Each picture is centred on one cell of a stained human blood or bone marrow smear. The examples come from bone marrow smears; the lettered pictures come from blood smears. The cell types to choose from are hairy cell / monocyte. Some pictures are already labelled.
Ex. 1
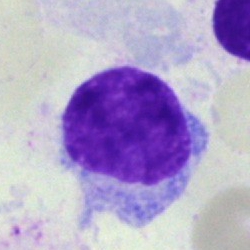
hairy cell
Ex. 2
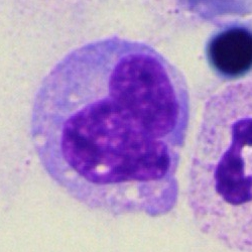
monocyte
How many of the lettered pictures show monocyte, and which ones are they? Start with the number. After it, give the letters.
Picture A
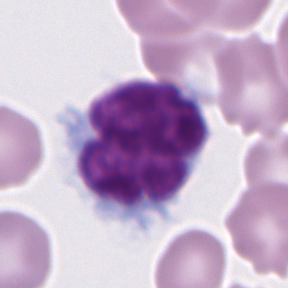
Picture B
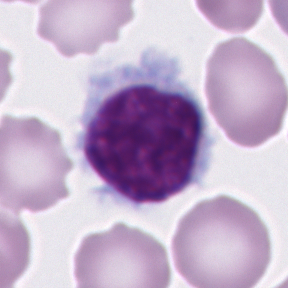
0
